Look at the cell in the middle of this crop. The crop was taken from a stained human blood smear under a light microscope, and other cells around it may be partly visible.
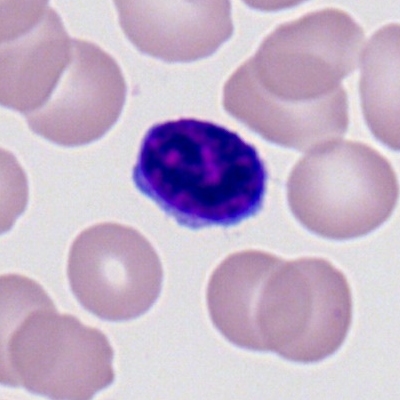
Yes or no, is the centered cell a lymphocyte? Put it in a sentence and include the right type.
Yes, the cell at the centre of this crop is identified as a lymphocyte.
